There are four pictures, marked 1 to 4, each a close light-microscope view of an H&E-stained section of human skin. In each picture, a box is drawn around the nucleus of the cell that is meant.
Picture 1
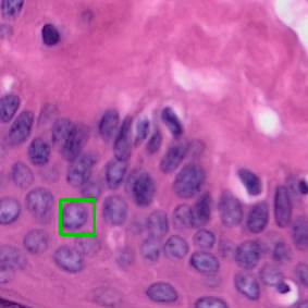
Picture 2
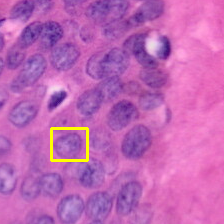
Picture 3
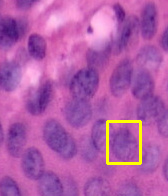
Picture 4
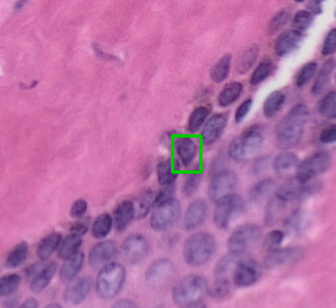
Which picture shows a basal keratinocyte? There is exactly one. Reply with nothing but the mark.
4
